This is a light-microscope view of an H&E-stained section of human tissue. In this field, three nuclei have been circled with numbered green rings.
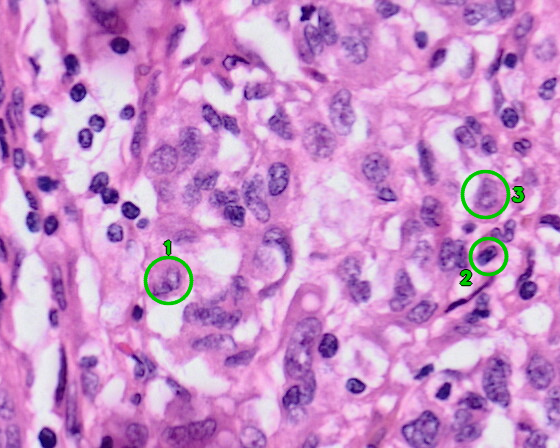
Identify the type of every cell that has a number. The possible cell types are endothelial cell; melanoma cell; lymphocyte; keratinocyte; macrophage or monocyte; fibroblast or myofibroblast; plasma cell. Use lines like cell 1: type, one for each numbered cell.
cell 1: melanoma cell
cell 2: lymphocyte
cell 3: melanoma cell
